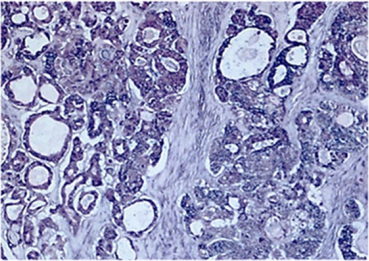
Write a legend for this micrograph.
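Carcinoma with gland-forming epithelial cancer cells separated by stroma. Crowded epithelial cells line irregular glands and cribriform clusters with round open lumina, some holding pale secretion. The cancer cells are densely stained dark purple-blue throughout, the stain filling the cells rather than sitting as discrete dots. A band of fibrous stroma runs vertically through the centre between two tumour fields; it is pale grey with scattered elongated spindle nuclei and only weak stain. Tumour clusters abut the stroma directly.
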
